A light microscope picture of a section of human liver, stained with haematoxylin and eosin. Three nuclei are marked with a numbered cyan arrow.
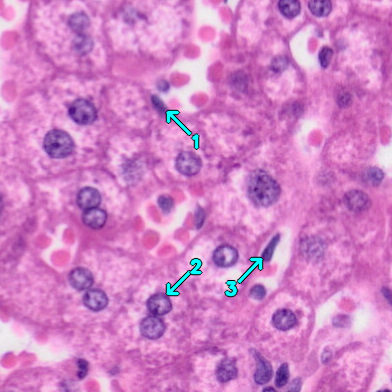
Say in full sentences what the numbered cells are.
Cell 1 is a fibroblast or stellate cell. Cell 2 is a hepatocyte. Cell 3 is a lymphocyte.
